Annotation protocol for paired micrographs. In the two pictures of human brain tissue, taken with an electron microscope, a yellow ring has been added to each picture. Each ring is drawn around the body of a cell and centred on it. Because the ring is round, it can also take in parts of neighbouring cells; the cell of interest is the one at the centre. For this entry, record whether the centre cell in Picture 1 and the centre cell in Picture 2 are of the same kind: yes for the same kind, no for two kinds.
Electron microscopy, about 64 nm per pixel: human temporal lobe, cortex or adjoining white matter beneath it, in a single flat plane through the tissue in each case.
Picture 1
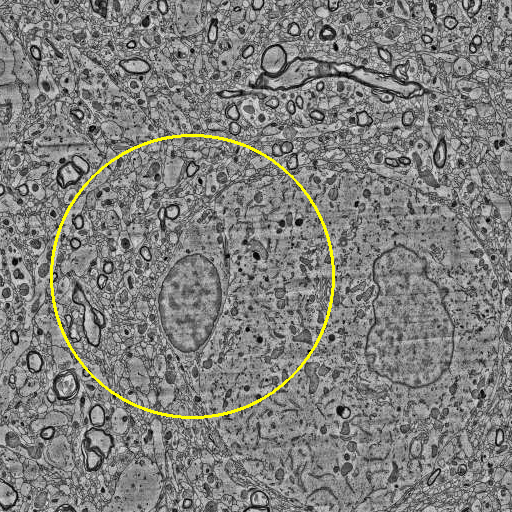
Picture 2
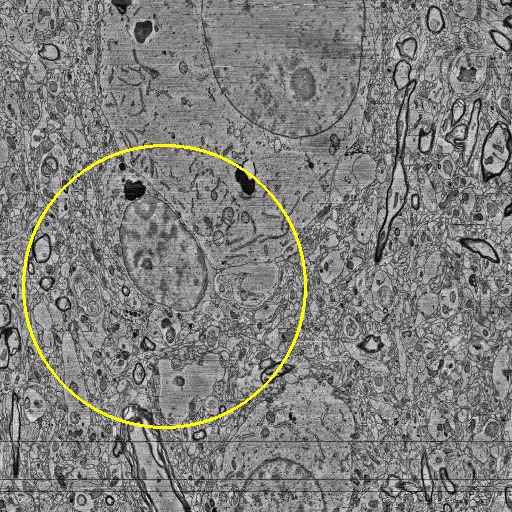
yes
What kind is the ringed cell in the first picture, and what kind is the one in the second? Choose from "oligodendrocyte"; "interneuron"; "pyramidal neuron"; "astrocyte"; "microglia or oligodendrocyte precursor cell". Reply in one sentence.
In both pictures the ring is centred on an oligodendrocyte.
